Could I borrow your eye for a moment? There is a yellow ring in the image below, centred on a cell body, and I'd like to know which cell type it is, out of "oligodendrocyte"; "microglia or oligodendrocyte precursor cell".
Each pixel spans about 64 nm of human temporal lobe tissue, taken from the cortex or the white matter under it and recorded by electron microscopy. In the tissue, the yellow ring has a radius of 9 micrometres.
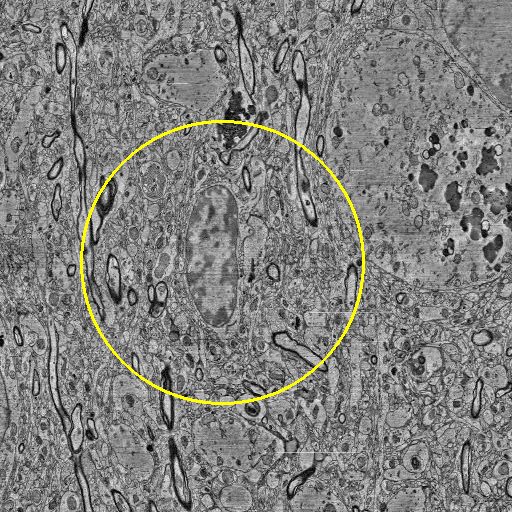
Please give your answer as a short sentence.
The cell body at the centre is that of a microglial cell or oligodendrocyte precursor cell.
